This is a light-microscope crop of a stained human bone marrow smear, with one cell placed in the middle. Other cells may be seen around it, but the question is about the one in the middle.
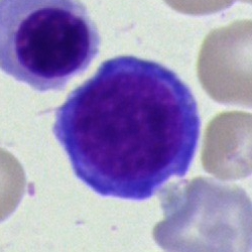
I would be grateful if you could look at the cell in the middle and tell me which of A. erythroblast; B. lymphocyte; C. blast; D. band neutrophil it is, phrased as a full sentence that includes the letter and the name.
Option A is the right choice, the central cell being an erythroblast.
